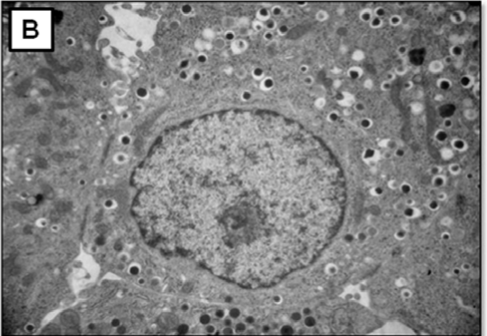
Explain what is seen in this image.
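This transmission electron micrograph shows an endocrine cell of an islet with a large round nucleus occupying the centre of the field. The nucleus has finely granular chromatin, a distinct nuclear envelope and a darker nucleolus-like body near its middle. The surrounding cytoplasm contains scattered round secretory granules with dense cores and clear halos, less densely packed than in a granule-crowded cell. Pale irregular spaces lie between neighbouring cells at the edges of the field.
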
